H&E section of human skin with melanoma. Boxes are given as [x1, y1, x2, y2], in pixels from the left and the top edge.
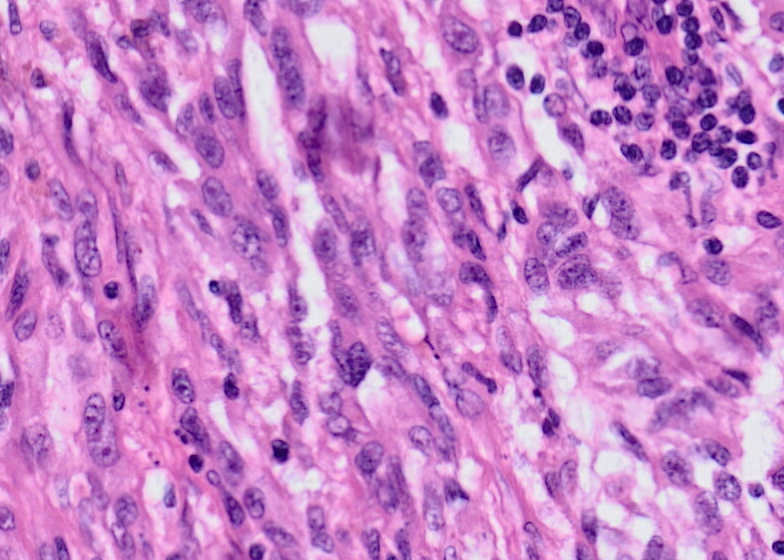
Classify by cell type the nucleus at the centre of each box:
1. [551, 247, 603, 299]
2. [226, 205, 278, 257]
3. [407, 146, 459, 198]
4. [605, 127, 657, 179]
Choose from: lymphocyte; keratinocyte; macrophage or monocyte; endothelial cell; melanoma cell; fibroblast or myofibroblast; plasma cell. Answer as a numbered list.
1. melanoma cell
2. melanoma cell
3. melanoma cell
4. lymphocyte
